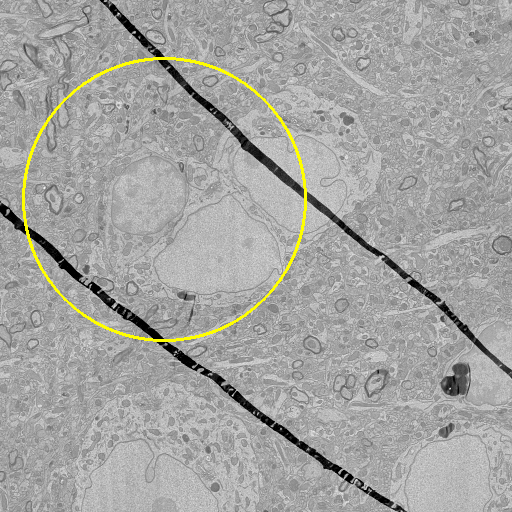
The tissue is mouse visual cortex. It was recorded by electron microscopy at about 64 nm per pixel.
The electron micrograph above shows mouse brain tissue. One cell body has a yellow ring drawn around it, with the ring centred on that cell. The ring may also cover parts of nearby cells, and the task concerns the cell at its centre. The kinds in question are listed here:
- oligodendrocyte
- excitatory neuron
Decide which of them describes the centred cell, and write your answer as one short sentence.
The centred cell is an oligodendrocyte.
